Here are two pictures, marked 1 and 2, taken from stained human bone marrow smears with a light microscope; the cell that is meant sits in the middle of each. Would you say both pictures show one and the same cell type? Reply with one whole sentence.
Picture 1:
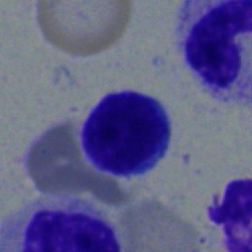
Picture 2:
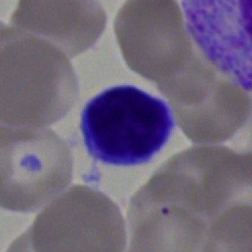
Yes; the cells in both pictures are lymphocytes.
